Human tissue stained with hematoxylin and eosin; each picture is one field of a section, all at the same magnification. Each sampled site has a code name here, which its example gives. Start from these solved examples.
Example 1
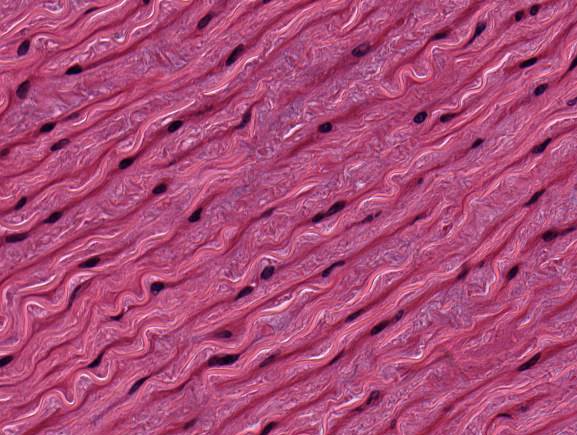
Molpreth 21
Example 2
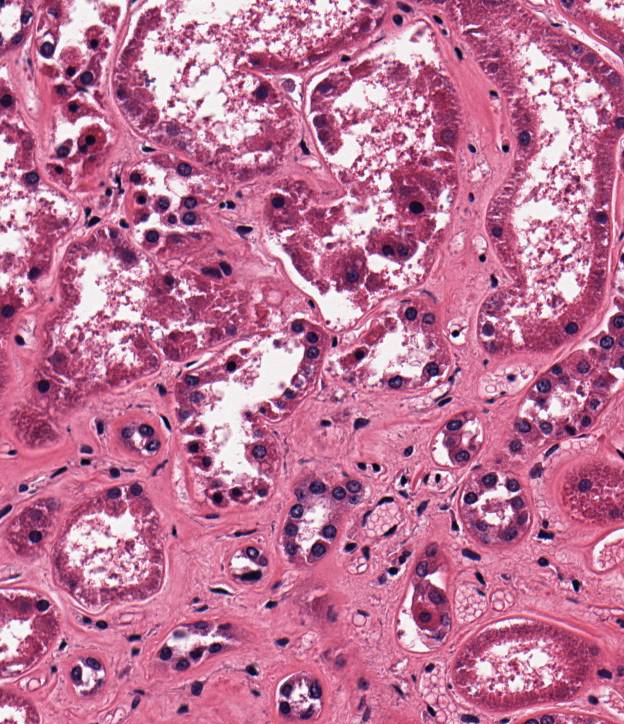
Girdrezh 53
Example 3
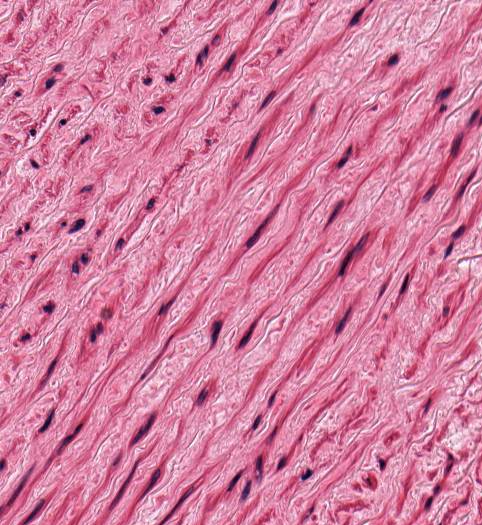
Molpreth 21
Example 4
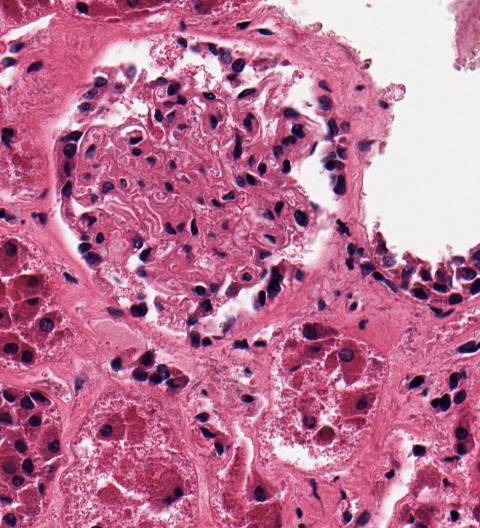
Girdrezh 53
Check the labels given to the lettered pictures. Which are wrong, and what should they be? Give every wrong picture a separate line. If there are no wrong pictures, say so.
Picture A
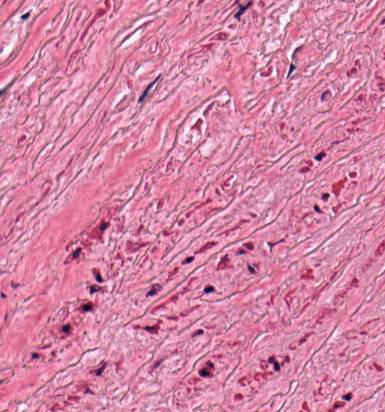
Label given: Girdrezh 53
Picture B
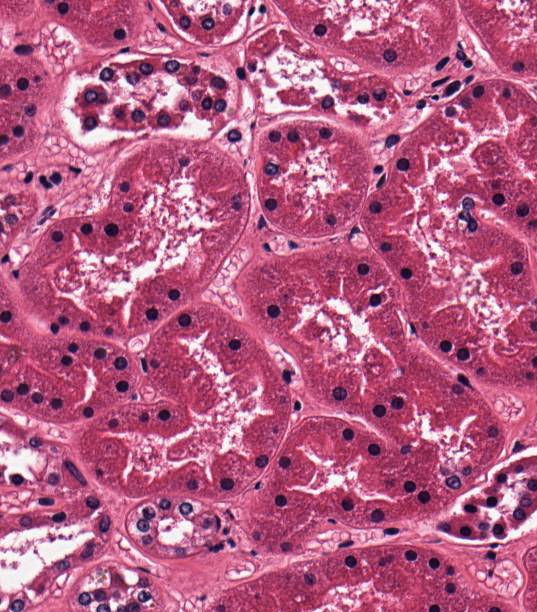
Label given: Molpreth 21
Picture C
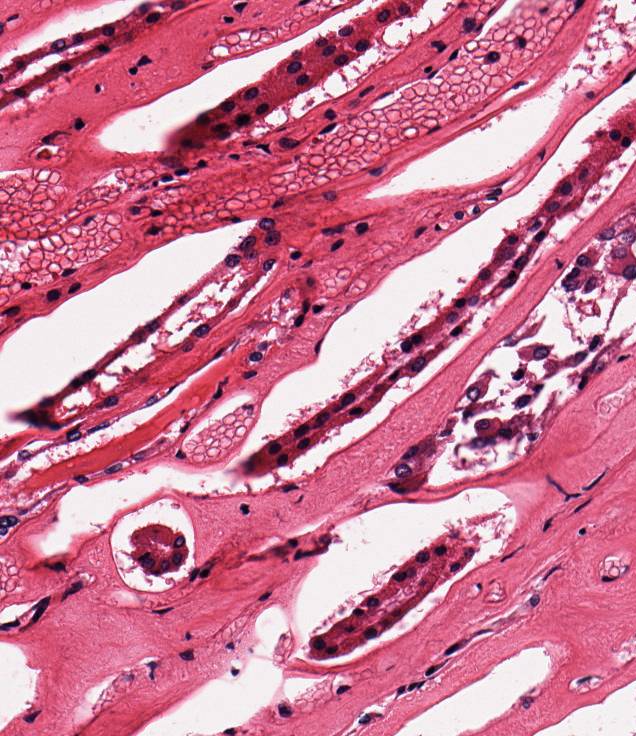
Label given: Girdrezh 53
Wrong: A (Girdrezh 53); correct: Molpreth 21
Wrong: B (Molpreth 21); correct: Girdrezh 53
